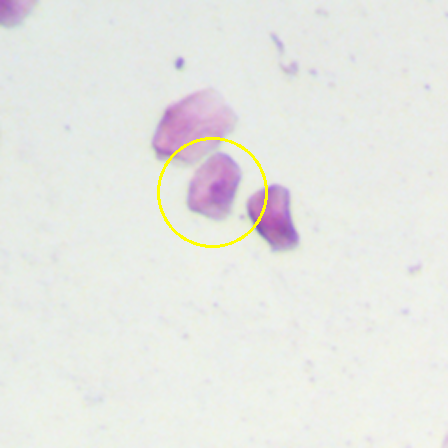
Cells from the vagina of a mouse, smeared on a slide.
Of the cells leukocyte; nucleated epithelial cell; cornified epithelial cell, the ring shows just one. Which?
The ring shows a nucleated epithelial cell.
